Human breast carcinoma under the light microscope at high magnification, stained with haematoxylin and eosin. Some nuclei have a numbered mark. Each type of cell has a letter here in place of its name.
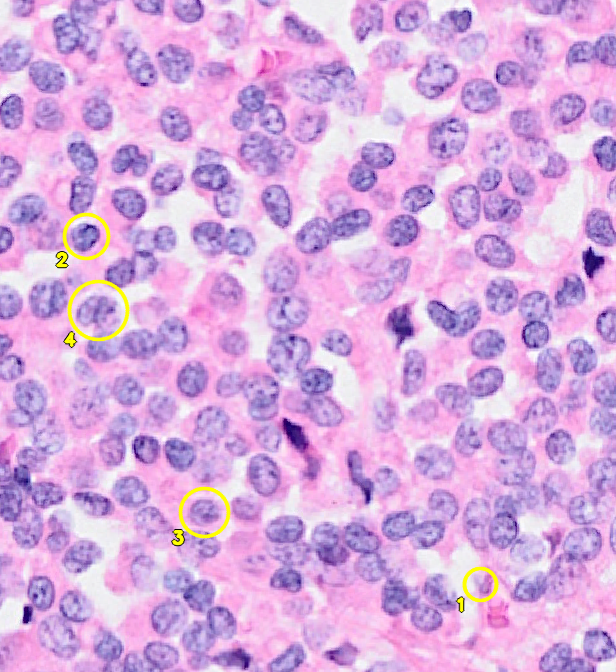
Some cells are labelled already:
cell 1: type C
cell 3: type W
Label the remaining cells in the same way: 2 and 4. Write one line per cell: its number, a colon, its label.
2: type W
4: type W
